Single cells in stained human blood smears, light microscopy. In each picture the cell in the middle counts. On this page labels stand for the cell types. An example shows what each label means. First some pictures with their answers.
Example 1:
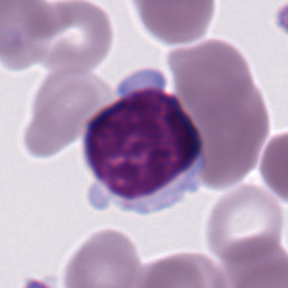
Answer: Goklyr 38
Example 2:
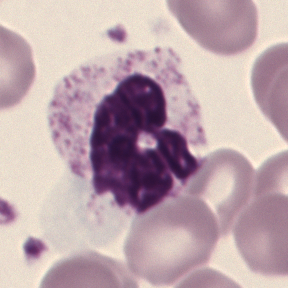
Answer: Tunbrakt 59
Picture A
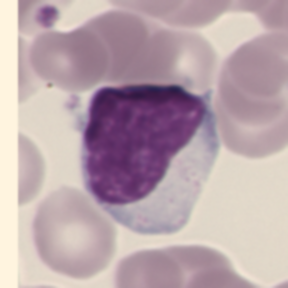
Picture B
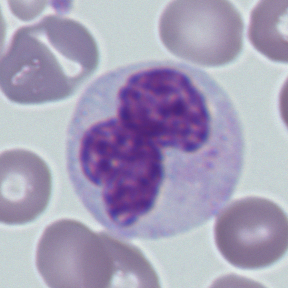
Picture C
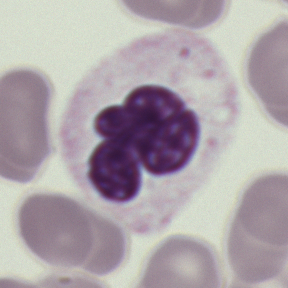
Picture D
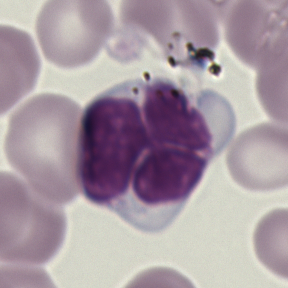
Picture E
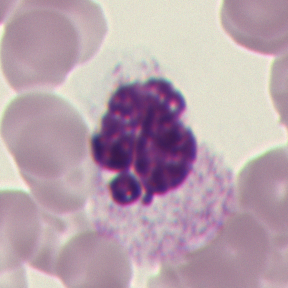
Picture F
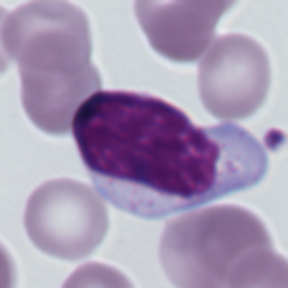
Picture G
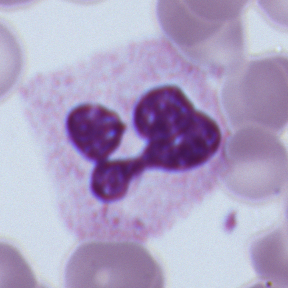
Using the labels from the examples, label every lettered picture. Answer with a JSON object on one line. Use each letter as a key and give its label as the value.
{"A": "Goklyr 38", "B": "Tunbrakt 59", "C": "Tunbrakt 59", "D": "Goklyr 38", "E": "Tunbrakt 59", "F": "Goklyr 38", "G": "Tunbrakt 59"}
